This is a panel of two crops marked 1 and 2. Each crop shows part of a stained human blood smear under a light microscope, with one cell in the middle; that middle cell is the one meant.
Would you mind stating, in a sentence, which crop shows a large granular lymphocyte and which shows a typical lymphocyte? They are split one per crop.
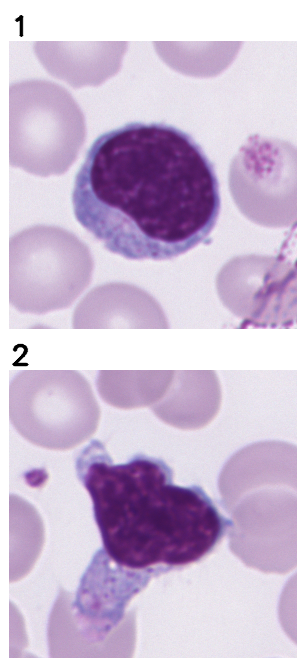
Crop 1 shows a typical lymphocyte, whereas crop 2 shows a large granular lymphocyte.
